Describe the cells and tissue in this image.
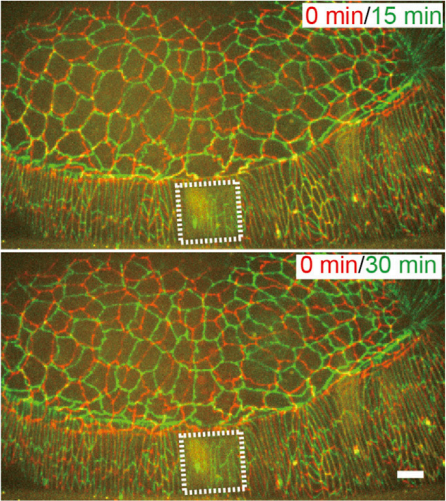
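The upper field is filled with large polygonal cells forming a loose honeycomb. A curved, continuous border separates them from the lateral epidermis below, whose cells are narrow and elongated, lined up side by side perpendicular to that border. A boxed patch of epidermal cells just below the border looks hazier and more yellow than its surroundings.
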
